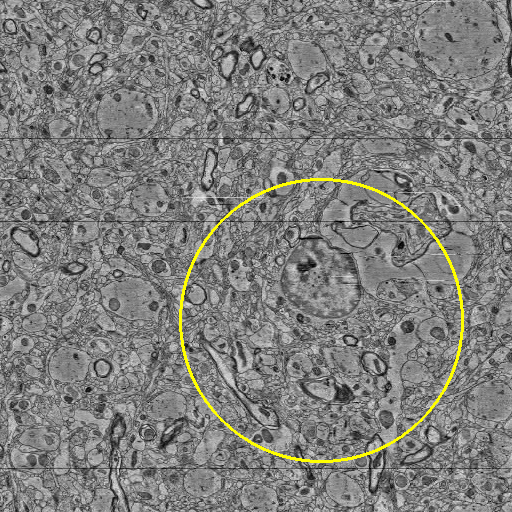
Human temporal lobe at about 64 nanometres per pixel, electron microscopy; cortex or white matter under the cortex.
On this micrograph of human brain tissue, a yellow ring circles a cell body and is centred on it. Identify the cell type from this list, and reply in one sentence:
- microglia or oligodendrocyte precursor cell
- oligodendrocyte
The cell at the centre is an oligodendrocyte.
